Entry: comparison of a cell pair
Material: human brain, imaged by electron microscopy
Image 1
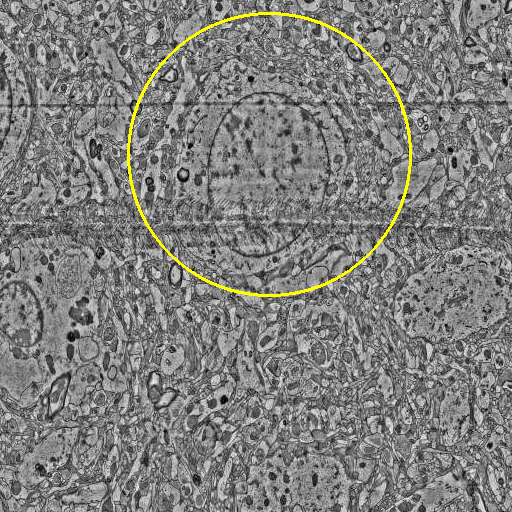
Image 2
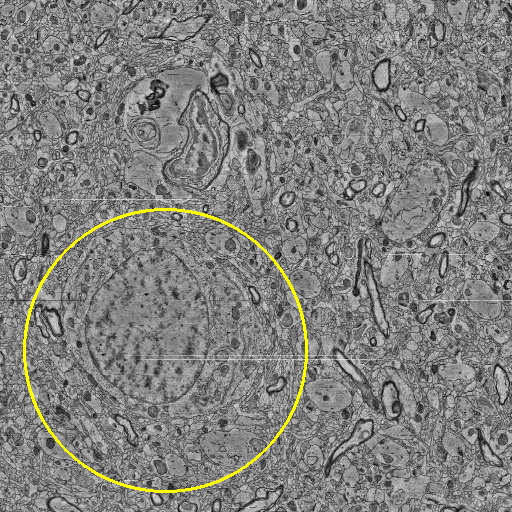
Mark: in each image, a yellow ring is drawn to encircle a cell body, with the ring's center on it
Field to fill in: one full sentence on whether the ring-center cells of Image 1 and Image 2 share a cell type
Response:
No, Image 1 and Image 2 show ring-center cells of two separate types.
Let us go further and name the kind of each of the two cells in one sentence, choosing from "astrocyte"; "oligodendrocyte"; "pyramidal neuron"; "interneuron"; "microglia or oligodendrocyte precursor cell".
The ring of the first picture is on a pyramidal neuron, the ring of the second on an interneuron.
